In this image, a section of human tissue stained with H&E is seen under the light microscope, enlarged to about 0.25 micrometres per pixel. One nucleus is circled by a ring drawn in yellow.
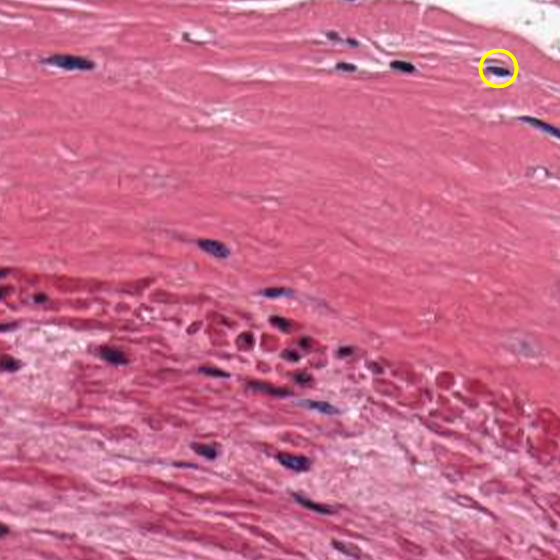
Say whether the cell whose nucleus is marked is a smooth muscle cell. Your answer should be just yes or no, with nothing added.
no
